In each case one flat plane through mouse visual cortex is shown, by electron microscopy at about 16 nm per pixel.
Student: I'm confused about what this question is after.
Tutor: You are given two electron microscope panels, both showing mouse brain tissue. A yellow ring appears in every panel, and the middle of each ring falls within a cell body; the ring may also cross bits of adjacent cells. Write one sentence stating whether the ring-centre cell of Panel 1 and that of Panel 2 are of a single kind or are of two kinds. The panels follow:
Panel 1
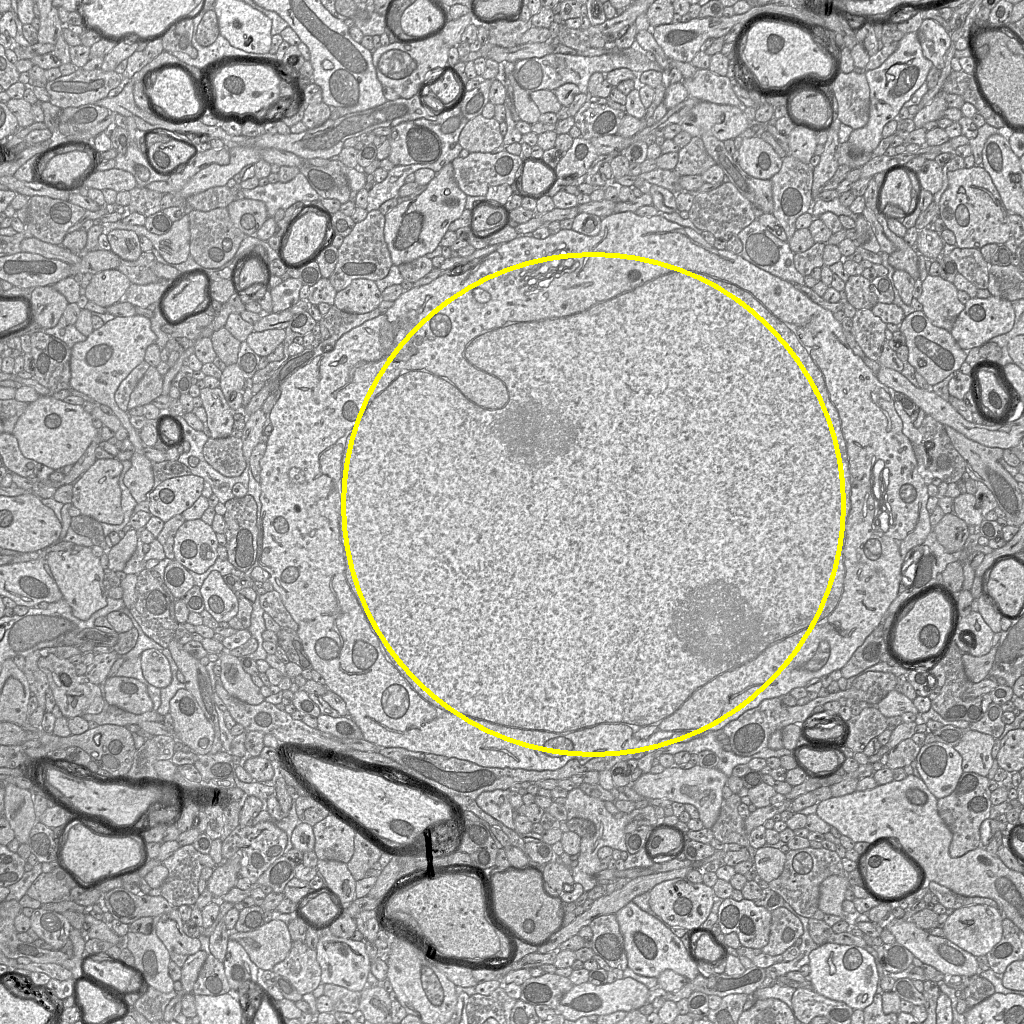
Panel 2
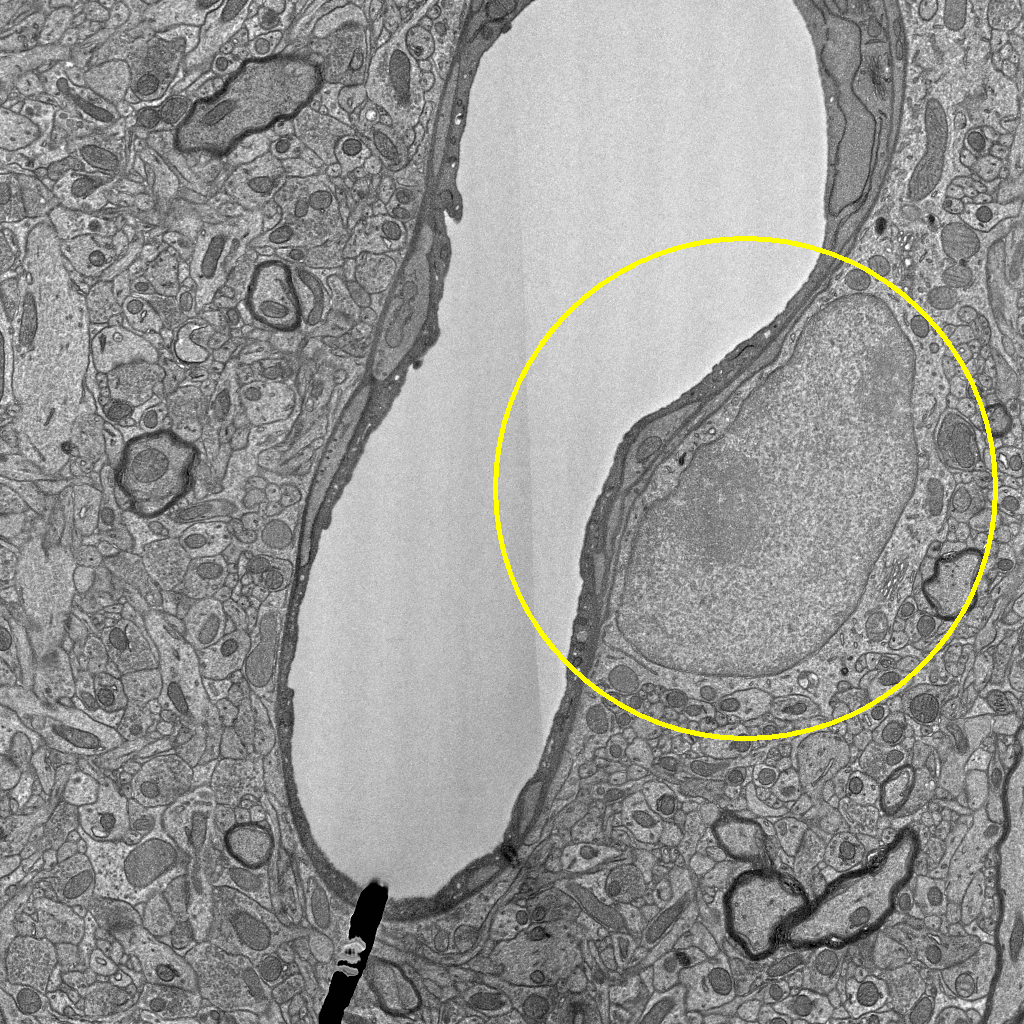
Here, the Panel 1 ring-centre cell and the Panel 2 ring-centre cell are of two kinds.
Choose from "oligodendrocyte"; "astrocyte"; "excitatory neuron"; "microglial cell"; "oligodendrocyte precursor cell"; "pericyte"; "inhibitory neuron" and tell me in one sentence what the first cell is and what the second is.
The one in the first picture is an excitatory neuron, while the one in the second is an astrocyte.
